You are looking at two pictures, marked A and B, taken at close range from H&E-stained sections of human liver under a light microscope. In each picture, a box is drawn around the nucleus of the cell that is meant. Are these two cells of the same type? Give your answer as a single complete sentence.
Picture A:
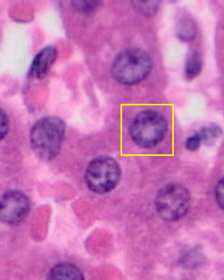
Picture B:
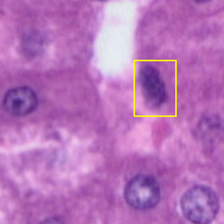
No, the types are not the same, since picture A shows a hepatocyte and picture B a “fibroblast or stellate cell”.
